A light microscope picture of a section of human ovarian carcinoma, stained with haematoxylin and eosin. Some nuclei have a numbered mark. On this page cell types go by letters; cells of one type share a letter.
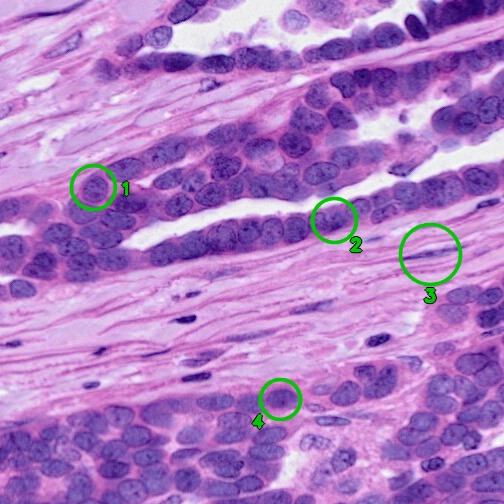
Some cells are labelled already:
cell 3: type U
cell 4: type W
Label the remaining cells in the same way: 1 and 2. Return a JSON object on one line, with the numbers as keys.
{"1": "type W", "2": "type W"}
